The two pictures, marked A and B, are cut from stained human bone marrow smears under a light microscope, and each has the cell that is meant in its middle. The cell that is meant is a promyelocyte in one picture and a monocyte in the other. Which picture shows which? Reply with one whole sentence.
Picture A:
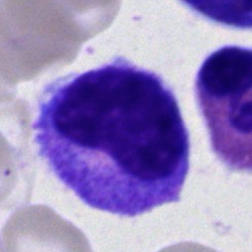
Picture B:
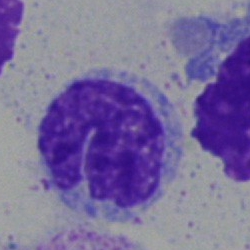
It is picture A that shows a promyelocyte, and picture B that shows a monocyte.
